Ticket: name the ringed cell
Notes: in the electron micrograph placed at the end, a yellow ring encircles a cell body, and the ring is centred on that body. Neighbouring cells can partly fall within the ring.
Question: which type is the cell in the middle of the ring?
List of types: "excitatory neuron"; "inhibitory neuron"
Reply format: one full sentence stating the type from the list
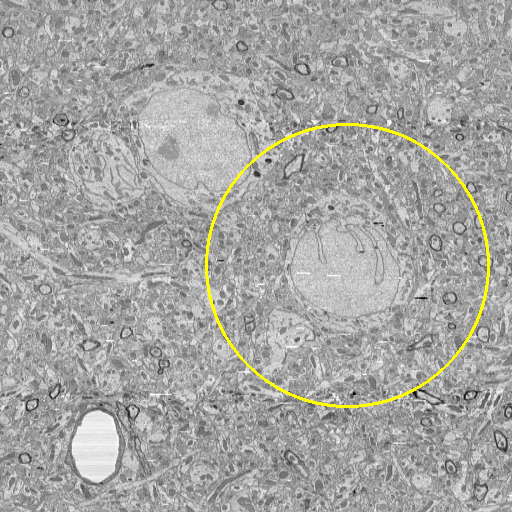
The cell sitting at the centre of the yellow ring is an inhibitory neuron.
